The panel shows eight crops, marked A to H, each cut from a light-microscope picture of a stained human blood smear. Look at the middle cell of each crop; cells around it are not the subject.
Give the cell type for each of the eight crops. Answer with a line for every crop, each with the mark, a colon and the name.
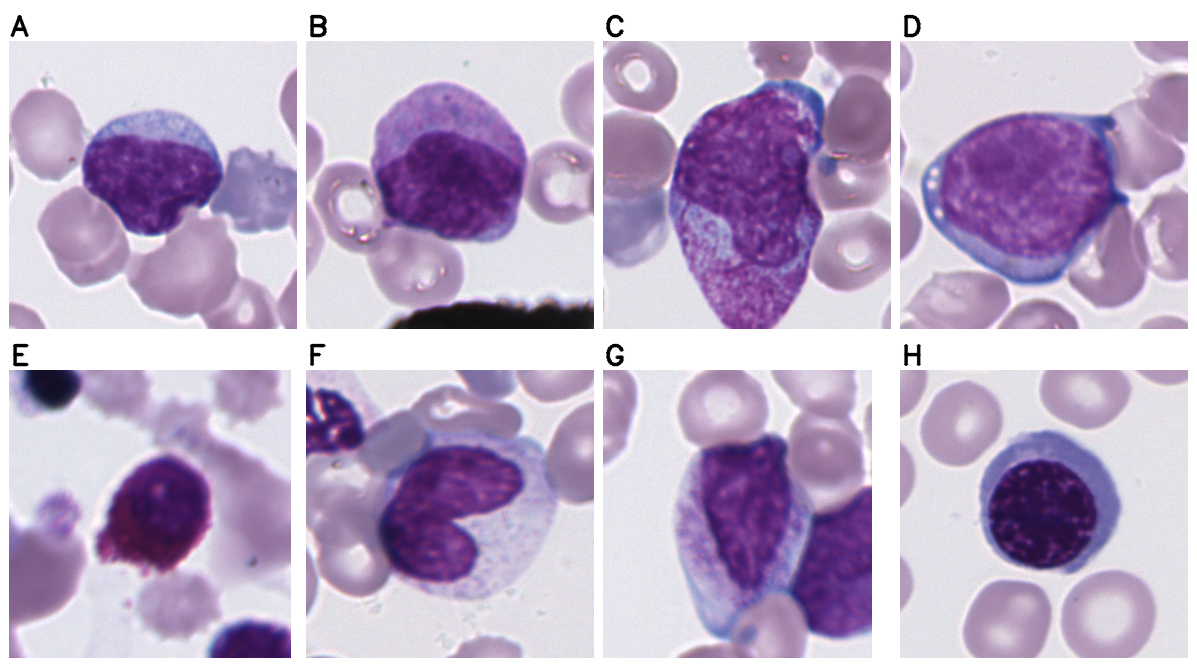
A: lymphocyte
B: atypical promyelocyte
C: atypical promyelocyte
D: myeloblast
E: eosinophil
F: metamyelocyte
G: myelocyte
H: erythroblast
